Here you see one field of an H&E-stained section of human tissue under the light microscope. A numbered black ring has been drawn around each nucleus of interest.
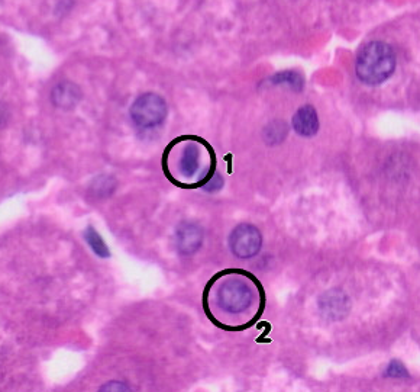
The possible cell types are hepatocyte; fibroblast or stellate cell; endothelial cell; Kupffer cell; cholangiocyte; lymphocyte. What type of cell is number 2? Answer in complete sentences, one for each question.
The cell referenced by the number 2 is a hepatocyte in this field.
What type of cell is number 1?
As for number 1, that cell is a lymphocyte.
